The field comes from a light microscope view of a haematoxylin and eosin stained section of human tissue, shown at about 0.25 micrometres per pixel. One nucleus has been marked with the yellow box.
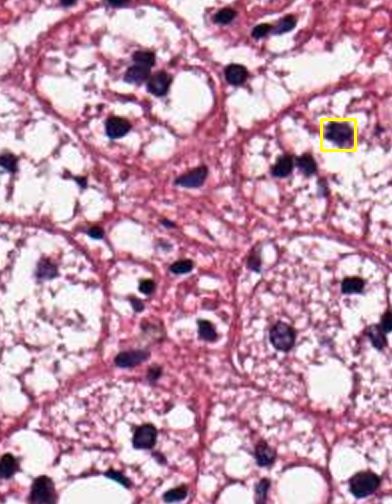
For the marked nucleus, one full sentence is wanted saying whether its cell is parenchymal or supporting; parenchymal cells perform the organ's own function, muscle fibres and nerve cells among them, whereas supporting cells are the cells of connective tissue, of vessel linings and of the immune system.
The nucleus that is marked belongs to a parenchymal cell, namely an adrenal cortical cell.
